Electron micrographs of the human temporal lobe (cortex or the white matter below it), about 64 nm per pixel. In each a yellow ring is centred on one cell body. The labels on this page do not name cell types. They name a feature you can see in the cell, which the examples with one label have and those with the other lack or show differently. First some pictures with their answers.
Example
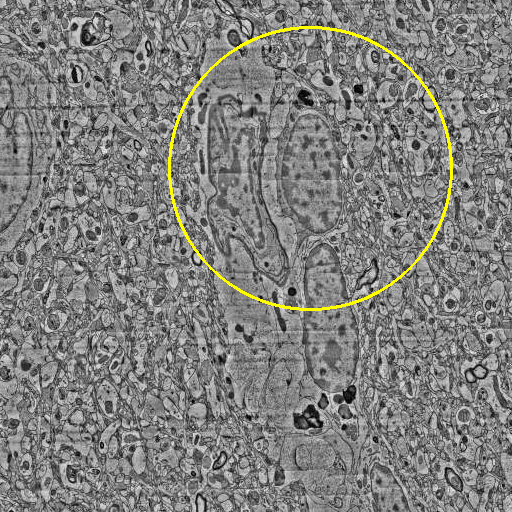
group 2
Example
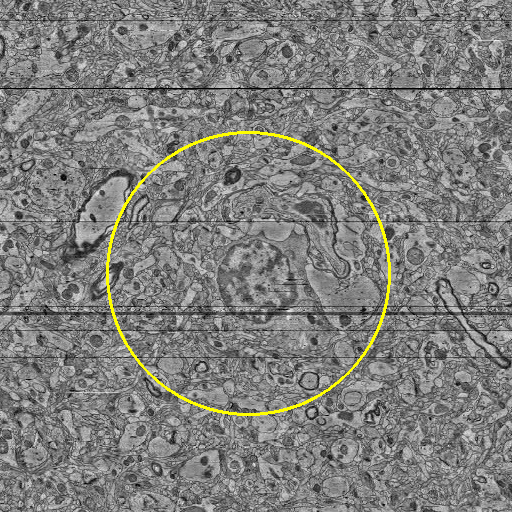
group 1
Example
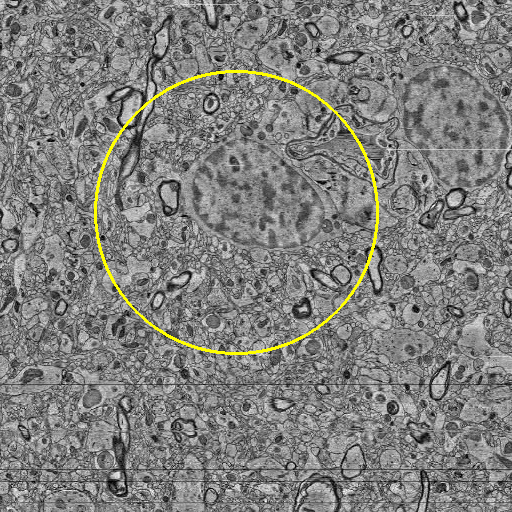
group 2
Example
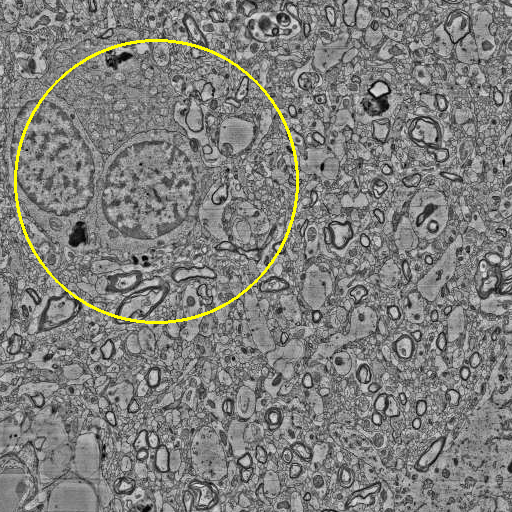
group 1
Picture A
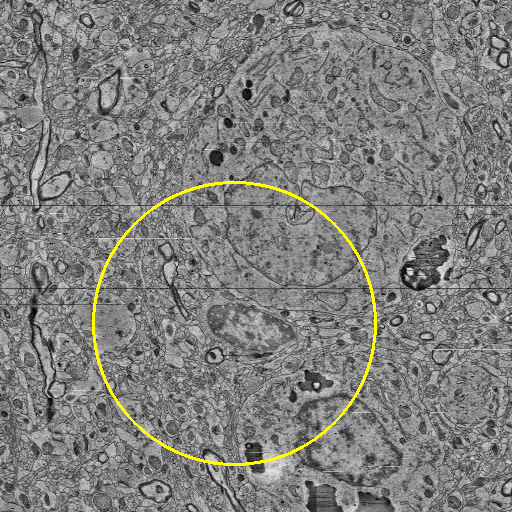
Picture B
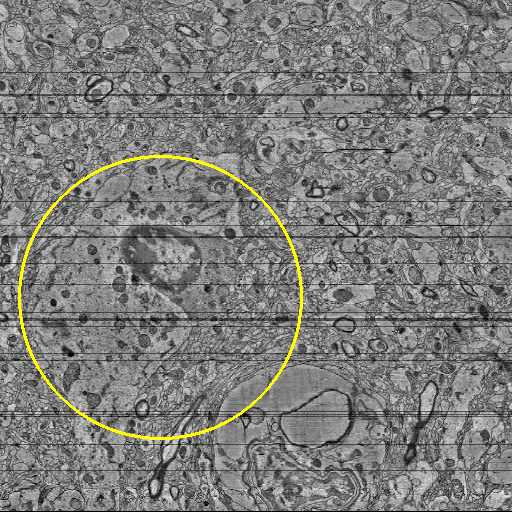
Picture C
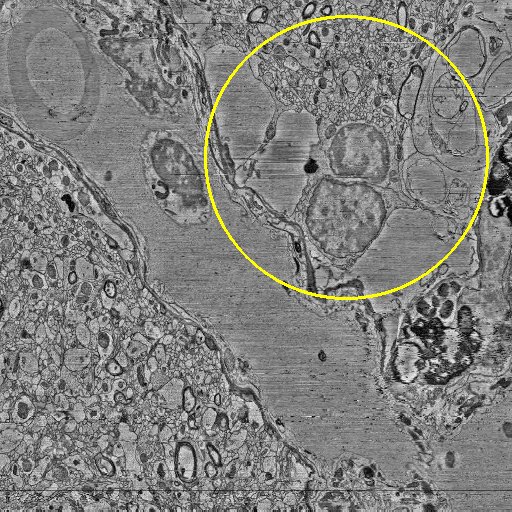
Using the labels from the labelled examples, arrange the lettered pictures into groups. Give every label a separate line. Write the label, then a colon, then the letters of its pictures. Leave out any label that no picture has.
group 2: A, B
group 1: C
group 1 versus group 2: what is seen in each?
Seen in group 1: round or nearly round nuclei; seen in group 2: clearly elongated nuclei.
